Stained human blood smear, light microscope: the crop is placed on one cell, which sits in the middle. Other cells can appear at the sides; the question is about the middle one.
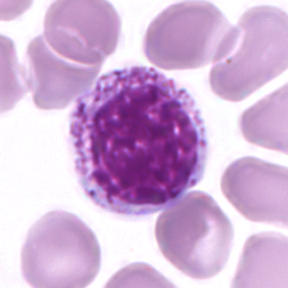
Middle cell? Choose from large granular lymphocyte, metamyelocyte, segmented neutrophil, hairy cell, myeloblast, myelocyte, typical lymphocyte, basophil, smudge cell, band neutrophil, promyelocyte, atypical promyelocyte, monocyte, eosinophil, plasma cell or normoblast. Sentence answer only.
The cell the crop is centered on is a metamyelocyte.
